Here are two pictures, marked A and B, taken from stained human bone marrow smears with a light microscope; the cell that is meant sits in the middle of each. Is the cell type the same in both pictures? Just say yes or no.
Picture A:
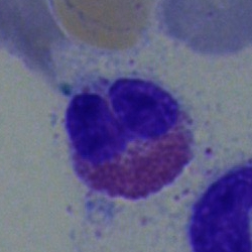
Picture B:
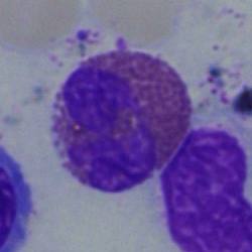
yes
